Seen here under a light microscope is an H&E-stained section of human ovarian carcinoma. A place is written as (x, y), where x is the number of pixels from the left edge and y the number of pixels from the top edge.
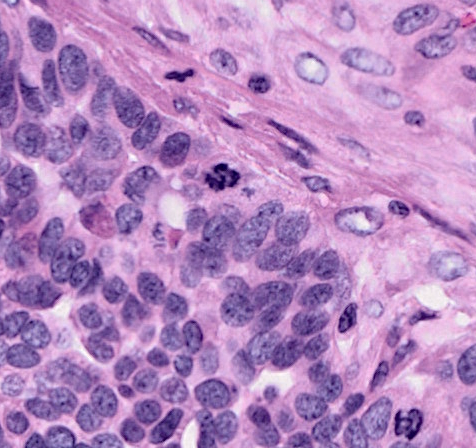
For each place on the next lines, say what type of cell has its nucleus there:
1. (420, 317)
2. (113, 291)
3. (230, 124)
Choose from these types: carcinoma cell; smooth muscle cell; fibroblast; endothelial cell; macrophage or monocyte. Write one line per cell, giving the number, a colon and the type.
1: fibroblast
2: carcinoma cell
3: fibroblast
